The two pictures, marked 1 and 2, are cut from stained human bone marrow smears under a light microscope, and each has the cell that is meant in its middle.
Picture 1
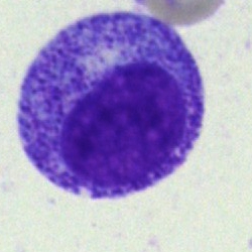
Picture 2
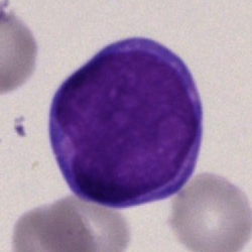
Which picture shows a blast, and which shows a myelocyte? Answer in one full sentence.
In picture 1 the cell is a myelocyte; in picture 2, a blast.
